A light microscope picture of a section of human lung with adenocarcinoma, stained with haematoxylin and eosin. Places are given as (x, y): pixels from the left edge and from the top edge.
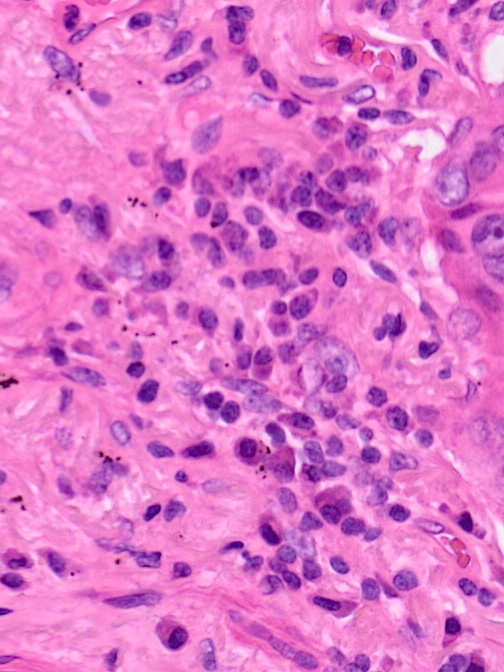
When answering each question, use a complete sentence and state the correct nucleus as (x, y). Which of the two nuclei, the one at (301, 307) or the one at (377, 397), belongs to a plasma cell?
Of the pair, the nucleus located at (301, 307) belongs to a plasma cell.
